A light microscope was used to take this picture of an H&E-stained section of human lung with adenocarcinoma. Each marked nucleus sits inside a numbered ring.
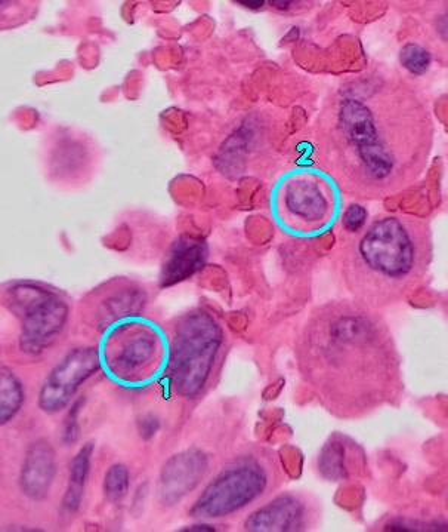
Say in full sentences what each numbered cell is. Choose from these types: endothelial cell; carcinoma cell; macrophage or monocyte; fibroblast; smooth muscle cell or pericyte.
Cell 1 is a carcinoma cell and cell 2 is a macrophage or monocyte.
